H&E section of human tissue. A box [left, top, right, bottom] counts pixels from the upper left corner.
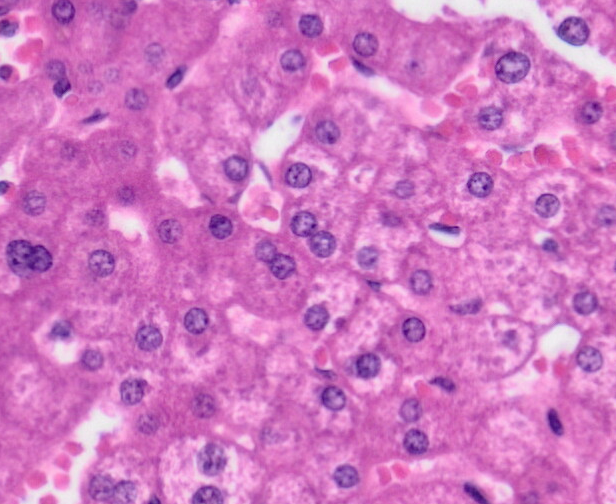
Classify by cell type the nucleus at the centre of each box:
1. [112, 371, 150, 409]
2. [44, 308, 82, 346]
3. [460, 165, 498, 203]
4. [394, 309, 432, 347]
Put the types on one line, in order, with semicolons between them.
hepatocyte; Kupffer cell; hepatocyte; hepatocyte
